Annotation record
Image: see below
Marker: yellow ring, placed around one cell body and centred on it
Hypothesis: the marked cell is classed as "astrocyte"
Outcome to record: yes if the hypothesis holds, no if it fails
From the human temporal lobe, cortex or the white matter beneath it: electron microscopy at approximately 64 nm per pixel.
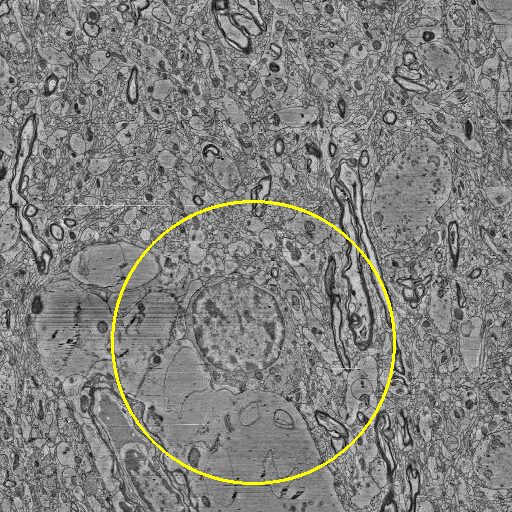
no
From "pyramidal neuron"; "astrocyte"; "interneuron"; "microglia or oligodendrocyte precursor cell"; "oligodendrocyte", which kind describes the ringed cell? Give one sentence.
It is an oligodendrocyte at the centre of the ring.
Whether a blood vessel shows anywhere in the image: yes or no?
Yes, a vessel appears in the picture.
